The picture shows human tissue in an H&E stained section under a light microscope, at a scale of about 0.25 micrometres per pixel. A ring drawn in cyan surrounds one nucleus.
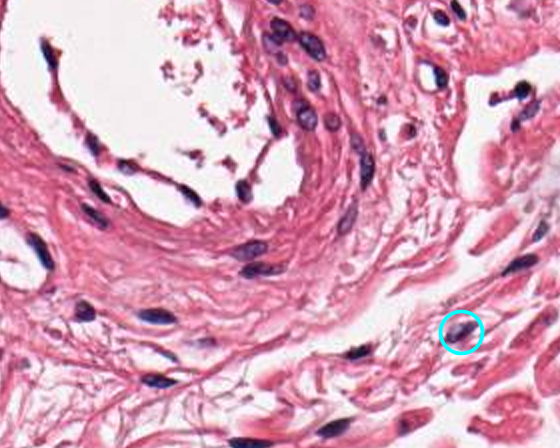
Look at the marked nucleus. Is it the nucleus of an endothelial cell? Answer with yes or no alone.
no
